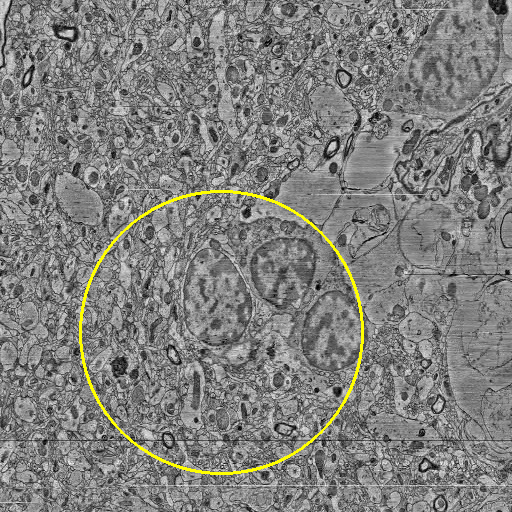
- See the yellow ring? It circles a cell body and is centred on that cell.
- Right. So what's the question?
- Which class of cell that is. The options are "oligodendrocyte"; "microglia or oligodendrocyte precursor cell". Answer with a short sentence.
The centre of the ring holds a microglial cell or oligodendrocyte precursor cell.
